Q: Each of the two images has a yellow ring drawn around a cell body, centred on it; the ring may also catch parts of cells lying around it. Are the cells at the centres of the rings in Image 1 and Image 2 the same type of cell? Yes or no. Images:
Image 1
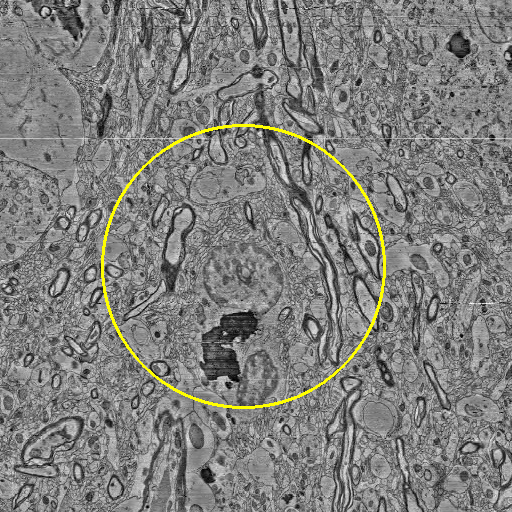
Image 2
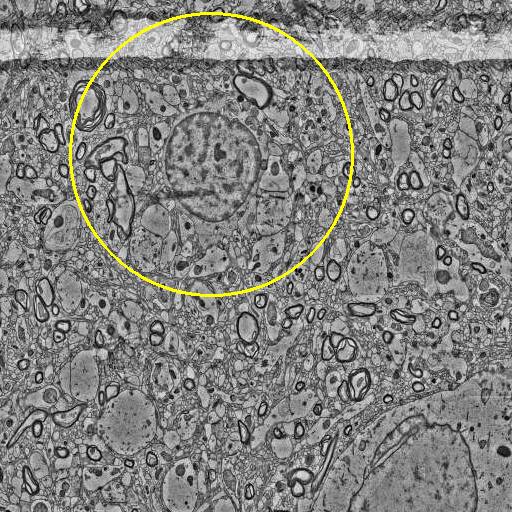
yes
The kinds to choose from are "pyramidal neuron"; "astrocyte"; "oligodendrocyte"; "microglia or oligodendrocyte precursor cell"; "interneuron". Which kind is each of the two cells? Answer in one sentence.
In each picture the ringed cell is an oligodendrocyte.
